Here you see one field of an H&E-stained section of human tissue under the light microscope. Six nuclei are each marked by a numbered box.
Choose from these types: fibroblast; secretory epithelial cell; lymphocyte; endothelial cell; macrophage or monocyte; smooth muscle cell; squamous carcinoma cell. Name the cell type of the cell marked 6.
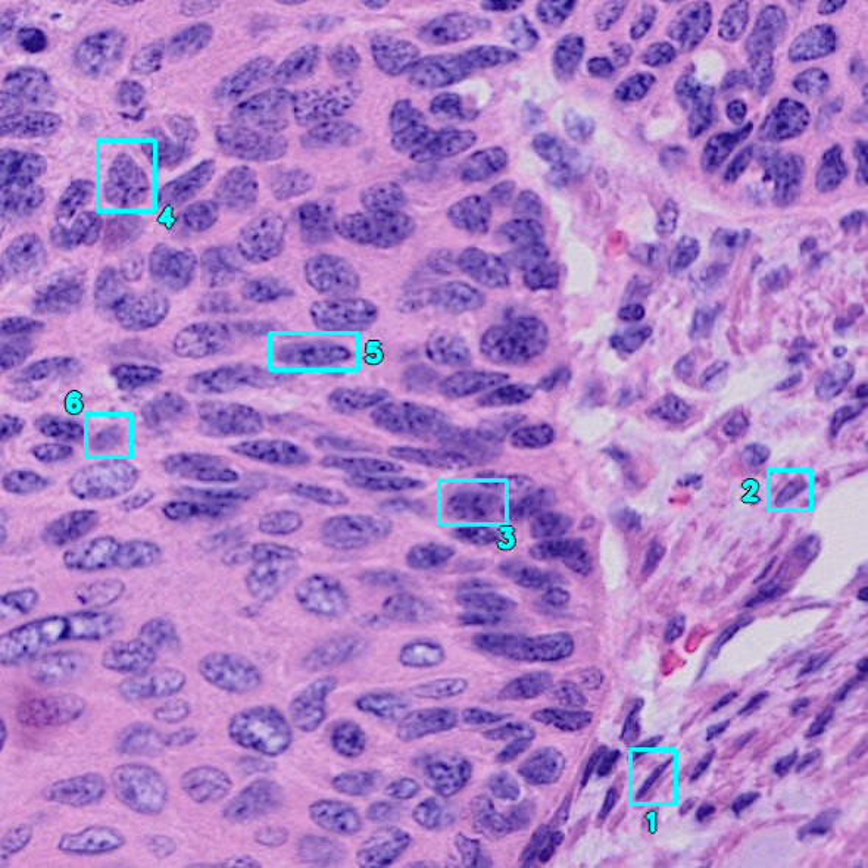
squamous carcinoma cell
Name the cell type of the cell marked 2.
fibroblast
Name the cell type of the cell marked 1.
fibroblast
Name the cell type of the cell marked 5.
squamous carcinoma cell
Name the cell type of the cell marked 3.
squamous carcinoma cell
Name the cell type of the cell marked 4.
squamous carcinoma cell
